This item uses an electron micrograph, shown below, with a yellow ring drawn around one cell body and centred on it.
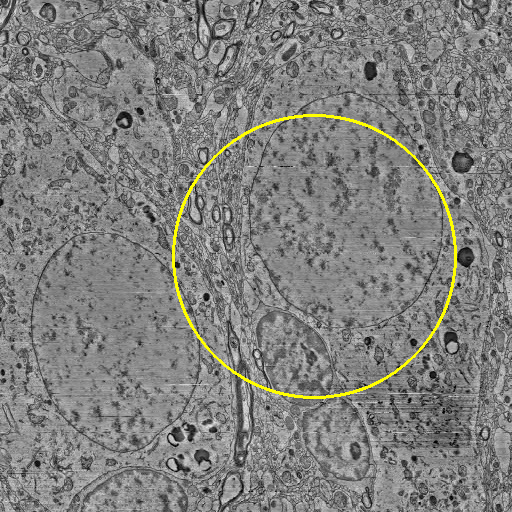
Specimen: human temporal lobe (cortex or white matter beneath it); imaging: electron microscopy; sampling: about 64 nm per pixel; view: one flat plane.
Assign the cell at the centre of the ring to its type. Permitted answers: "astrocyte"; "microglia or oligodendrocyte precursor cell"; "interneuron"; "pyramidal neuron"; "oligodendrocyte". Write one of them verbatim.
pyramidal neuron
